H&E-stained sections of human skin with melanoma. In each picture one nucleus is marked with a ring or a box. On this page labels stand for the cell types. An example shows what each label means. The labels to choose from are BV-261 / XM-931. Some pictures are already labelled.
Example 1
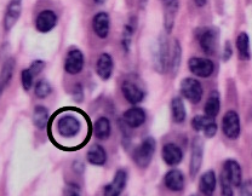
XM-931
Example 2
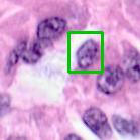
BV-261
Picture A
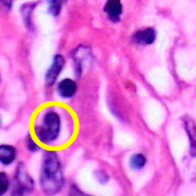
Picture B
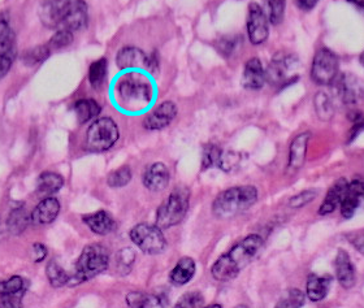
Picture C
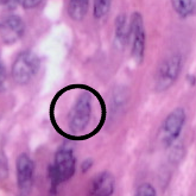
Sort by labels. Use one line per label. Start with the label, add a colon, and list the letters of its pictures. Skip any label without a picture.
BV-261: B, C
XM-931: A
